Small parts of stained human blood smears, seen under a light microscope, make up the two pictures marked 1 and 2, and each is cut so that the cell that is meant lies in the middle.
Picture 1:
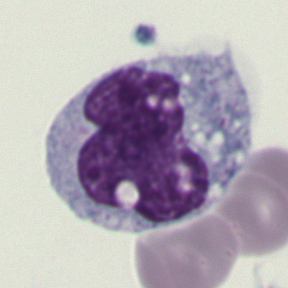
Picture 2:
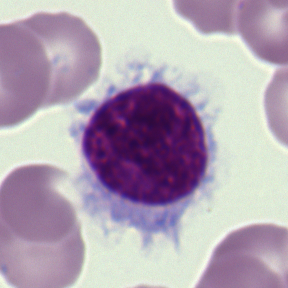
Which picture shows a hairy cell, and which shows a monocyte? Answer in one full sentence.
The cell in picture 1 is a monocyte, and the one in picture 2 is a hairy cell.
